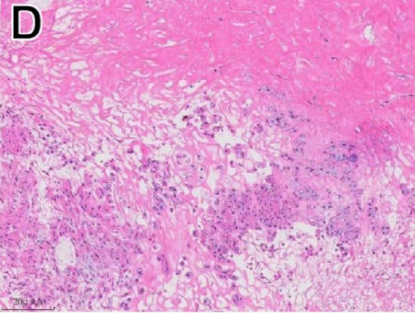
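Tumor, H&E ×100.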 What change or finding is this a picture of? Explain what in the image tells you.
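Broad areas of dense, pale pink, acellular collagenous tissue. Few scattered cells within the dense pink tissue. So: hardening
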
